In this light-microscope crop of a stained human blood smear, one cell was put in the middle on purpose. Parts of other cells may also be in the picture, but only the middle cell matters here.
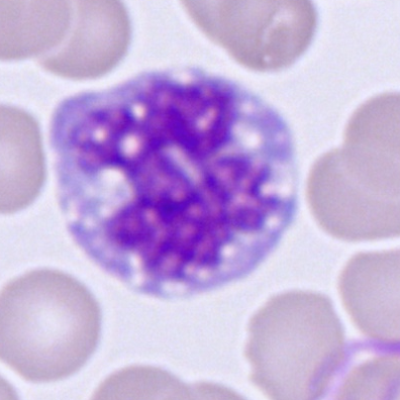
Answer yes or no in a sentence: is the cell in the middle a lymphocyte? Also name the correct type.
No, a monocyte rather than a lymphocyte is the cell at the centre of the crop.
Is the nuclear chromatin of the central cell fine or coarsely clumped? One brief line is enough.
The nucleus shows chromatin that is coarsely clumped.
